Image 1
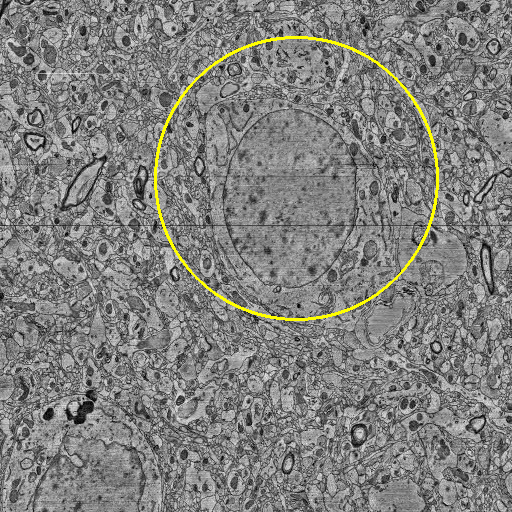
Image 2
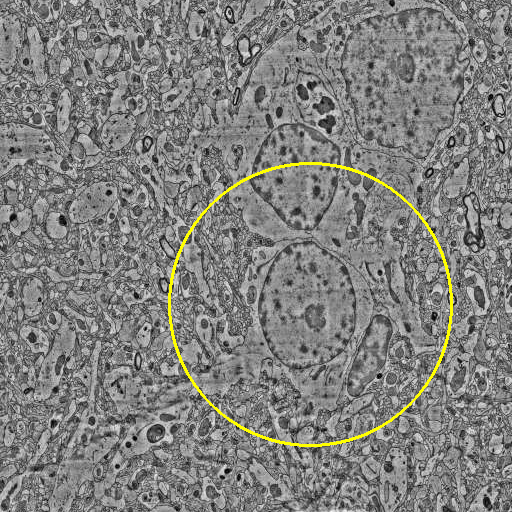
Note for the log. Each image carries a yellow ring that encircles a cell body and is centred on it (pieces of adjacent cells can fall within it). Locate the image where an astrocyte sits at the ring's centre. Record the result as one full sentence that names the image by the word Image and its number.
Image 2 has the wanted cell sitting at the centre of its ring.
